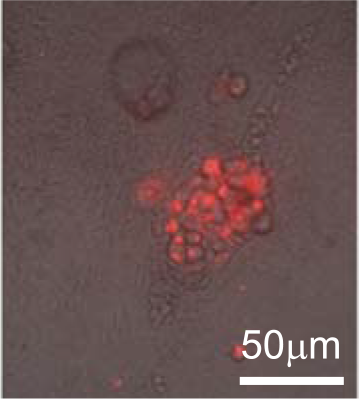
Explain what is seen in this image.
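A compact cluster of small rounded cells sits in a flat sheet of cells, with a few loose round cells and a ring-shaped structure nearby. Within the cluster, bright red round deposits of varying size lie in the cells, while the surrounding sheet is nearly free of red.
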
